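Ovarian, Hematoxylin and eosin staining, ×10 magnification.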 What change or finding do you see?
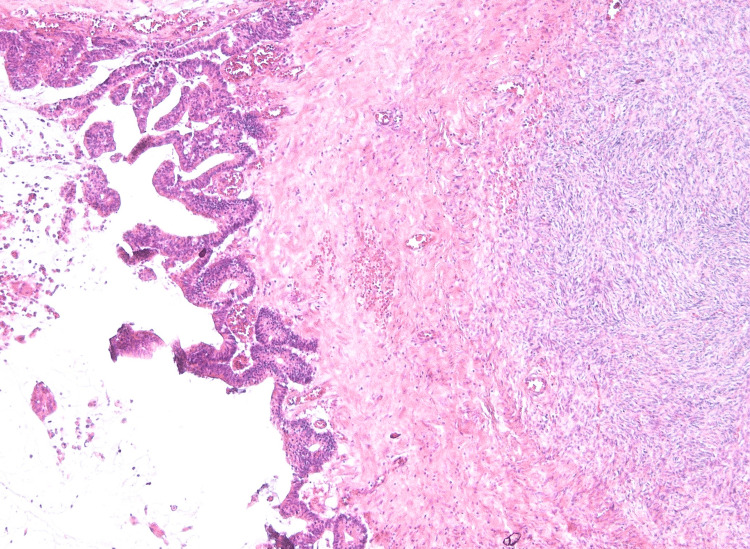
Tumor growth.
